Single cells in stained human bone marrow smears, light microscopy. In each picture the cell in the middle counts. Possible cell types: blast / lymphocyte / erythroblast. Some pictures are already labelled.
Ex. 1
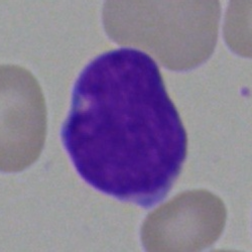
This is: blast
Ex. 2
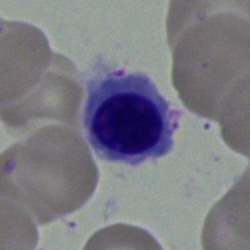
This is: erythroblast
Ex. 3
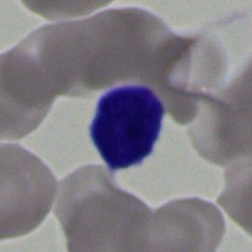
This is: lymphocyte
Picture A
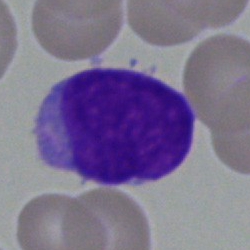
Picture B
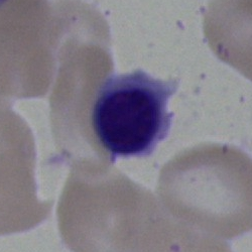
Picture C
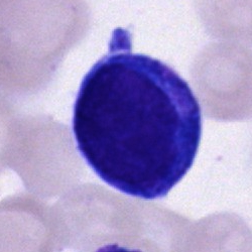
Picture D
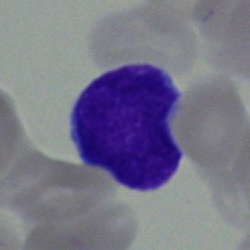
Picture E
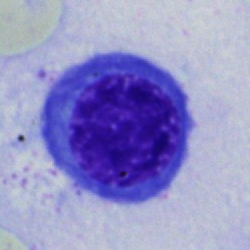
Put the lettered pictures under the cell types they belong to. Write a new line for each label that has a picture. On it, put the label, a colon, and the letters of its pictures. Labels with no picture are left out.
blast: A, C, D
erythroblast: B, E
